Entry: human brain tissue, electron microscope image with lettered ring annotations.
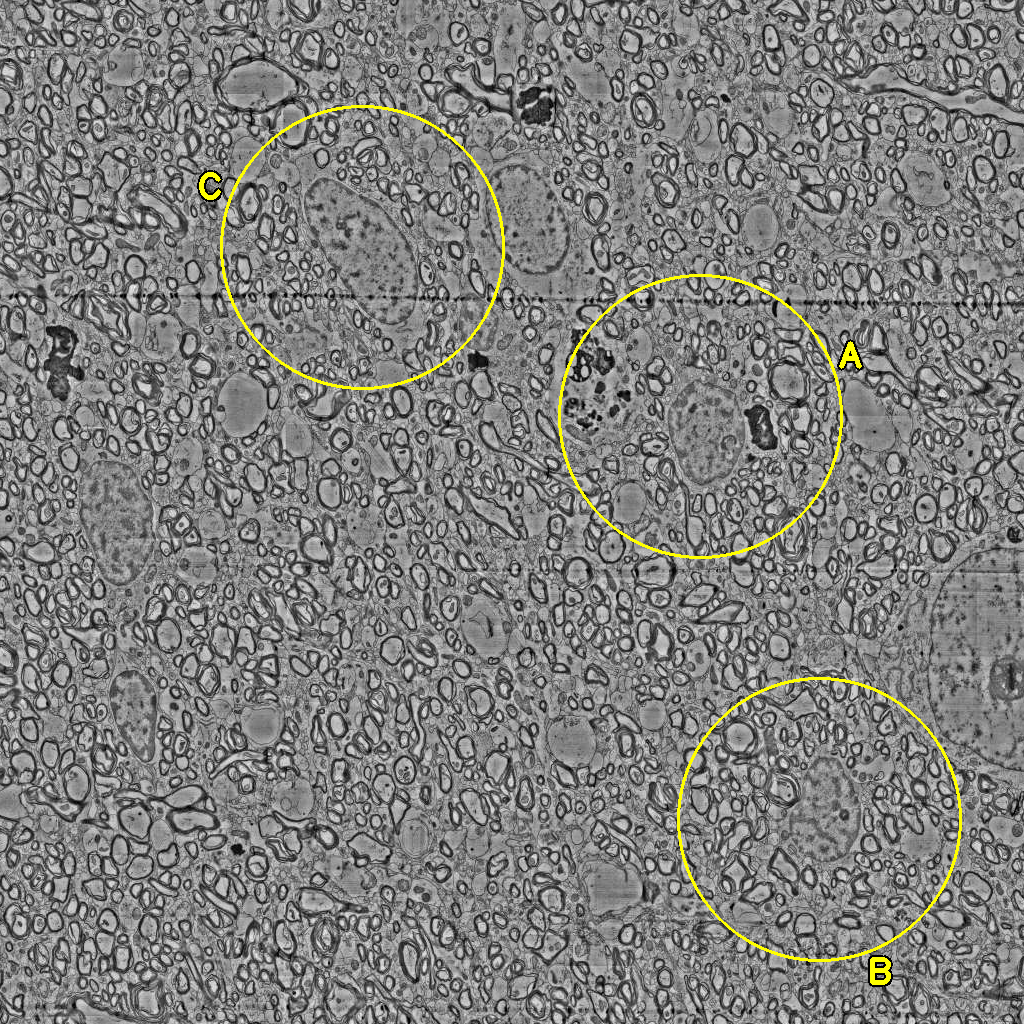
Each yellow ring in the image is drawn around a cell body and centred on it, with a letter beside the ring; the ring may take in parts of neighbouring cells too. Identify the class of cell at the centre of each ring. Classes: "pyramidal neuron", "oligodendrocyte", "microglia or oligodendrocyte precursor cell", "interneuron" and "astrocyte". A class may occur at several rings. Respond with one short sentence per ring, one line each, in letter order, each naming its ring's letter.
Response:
Ring A holds an oligodendrocyte at its centre.
Ring B holds an oligodendrocyte at its centre.
Ring C holds a microglial cell or oligodendrocyte precursor cell at its centre.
